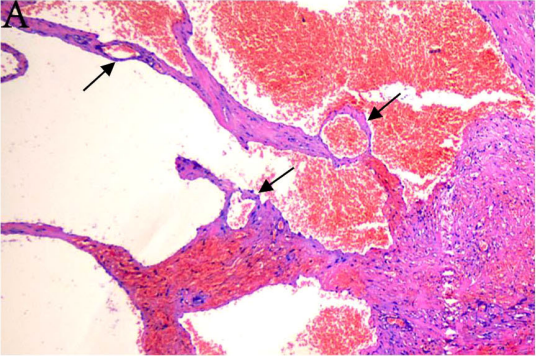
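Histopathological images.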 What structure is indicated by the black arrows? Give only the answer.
vessel walls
